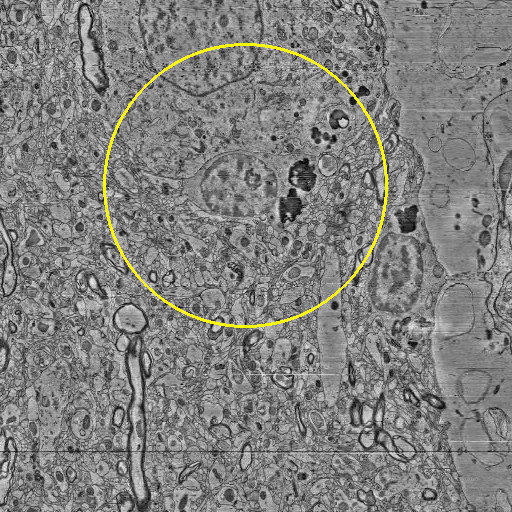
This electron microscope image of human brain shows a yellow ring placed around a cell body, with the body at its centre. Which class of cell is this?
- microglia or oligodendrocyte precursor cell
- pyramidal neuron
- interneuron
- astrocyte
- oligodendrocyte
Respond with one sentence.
The cell body at the ring's centre is an oligodendrocyte.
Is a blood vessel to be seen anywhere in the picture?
Yes.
